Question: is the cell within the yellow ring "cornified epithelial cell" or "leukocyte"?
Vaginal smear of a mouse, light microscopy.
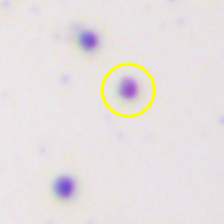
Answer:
leukocyte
